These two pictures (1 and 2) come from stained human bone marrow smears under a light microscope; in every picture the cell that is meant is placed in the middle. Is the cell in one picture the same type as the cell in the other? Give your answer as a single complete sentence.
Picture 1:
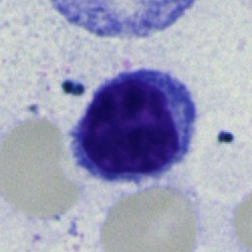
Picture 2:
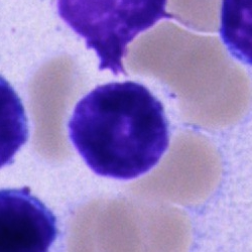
Yes, they are the same type: both are lymphocytes.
